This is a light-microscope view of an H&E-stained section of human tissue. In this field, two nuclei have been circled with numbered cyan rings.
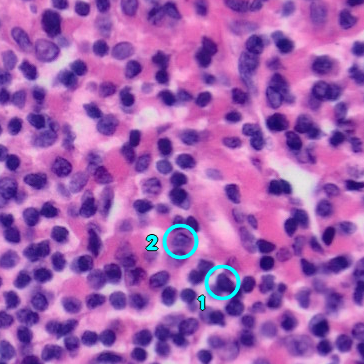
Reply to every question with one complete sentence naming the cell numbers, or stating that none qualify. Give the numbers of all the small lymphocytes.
Being a small lymphocyte is true of cell 1 and of no other numbered cell.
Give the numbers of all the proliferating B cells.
In the set of numbered cells, proliferating B cells are not found.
